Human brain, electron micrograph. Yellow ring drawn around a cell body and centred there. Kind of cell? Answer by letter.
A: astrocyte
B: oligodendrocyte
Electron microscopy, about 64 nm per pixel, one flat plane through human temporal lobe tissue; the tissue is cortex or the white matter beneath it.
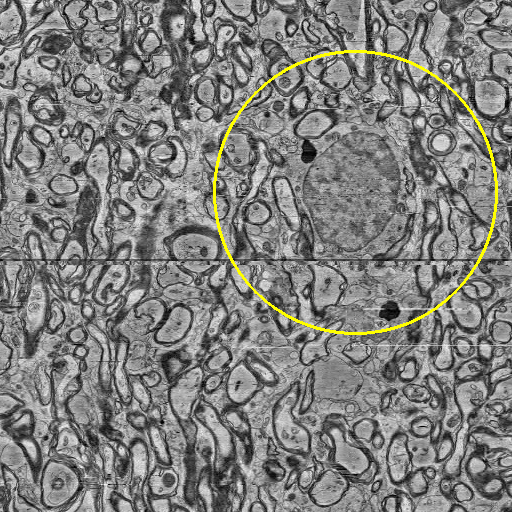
B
